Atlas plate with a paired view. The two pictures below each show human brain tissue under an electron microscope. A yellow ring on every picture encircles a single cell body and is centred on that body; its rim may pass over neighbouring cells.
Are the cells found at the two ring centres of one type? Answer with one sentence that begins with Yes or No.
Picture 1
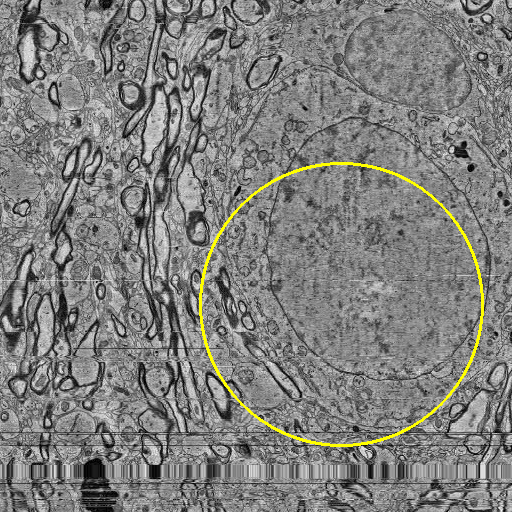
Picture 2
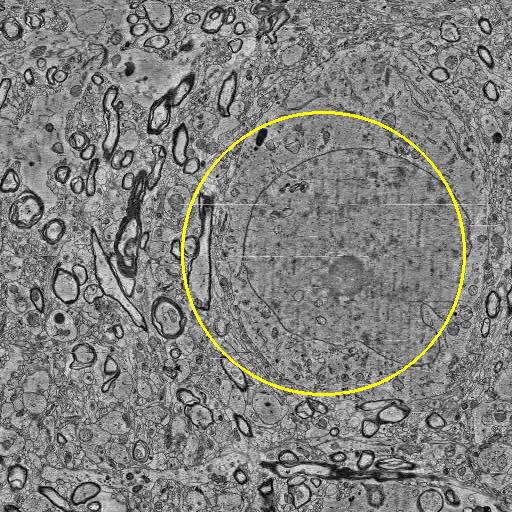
Yes, the two cells lying at the centres of the rings share a single type.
